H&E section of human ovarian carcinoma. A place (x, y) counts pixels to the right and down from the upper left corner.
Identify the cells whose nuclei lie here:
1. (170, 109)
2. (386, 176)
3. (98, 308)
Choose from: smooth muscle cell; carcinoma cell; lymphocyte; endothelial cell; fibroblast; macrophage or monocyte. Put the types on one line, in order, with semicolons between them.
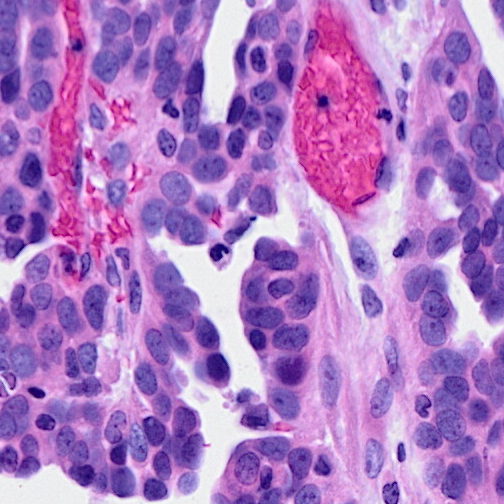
lymphocyte; endothelial cell; carcinoma cell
